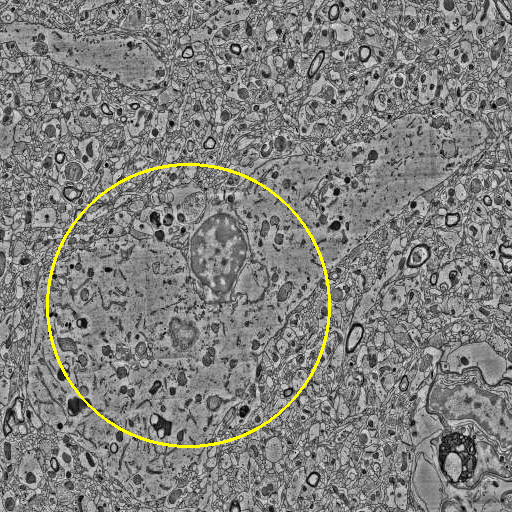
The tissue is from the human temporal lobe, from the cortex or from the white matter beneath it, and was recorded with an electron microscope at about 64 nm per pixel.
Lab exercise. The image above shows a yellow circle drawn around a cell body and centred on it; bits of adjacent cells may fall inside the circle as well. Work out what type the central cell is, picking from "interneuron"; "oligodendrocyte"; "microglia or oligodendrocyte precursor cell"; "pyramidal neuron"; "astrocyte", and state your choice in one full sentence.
In the image above, the cell at the centre of the yellow circle is a pyramidal neuron.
